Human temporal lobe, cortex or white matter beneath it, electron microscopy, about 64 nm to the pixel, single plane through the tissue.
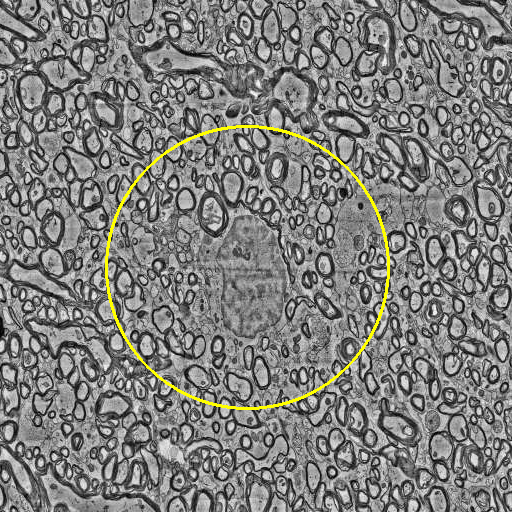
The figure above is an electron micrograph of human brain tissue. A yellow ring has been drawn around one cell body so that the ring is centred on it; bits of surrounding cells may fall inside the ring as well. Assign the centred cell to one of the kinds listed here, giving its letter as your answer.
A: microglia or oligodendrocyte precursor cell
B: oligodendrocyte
B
